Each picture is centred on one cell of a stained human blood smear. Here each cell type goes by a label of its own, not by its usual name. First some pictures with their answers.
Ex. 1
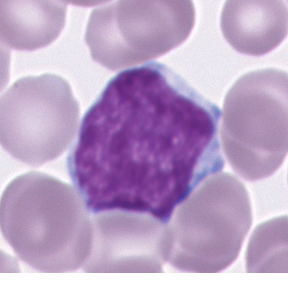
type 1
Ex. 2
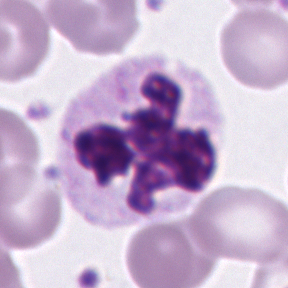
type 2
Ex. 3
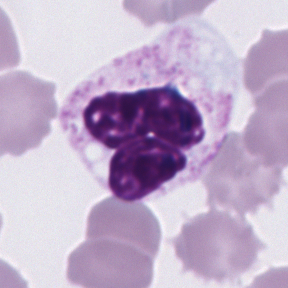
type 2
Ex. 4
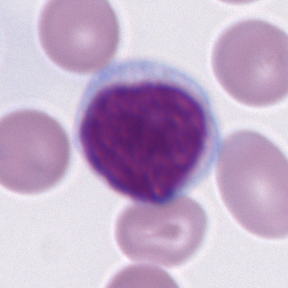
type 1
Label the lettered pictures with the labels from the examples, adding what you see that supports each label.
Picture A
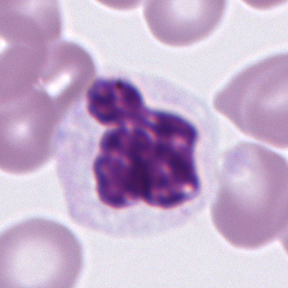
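Label: type 2. A broad rim of very pale, almost colourless cytoplasm surrounds the nucleus.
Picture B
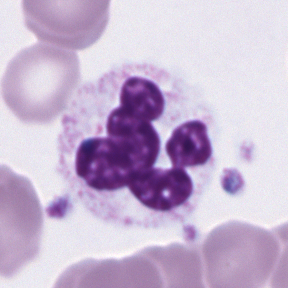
Label: type 2. The cytoplasm is very pale, almost colourless.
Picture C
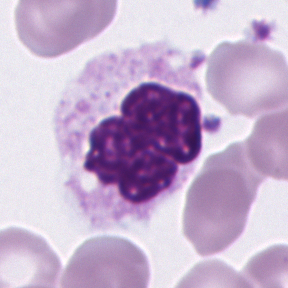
Label: type 2. A wide zone of pale pinkish-lilac cytoplasm surrounds the nucleus.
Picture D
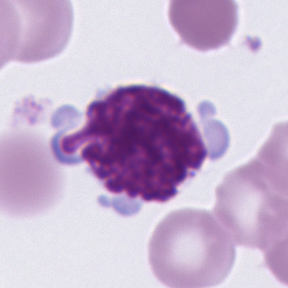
Label: type 1. The cytoplasm is scant, with the nucleus filling almost the whole cell.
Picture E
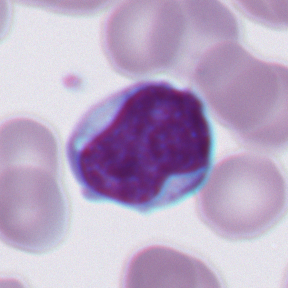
Label: type 1. The cytoplasm is a narrow rim, widest at the left and lower right.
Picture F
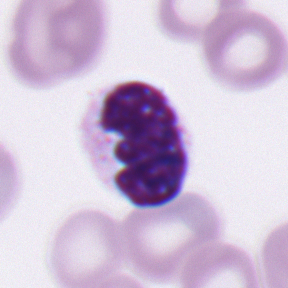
Label: type 2. The cytoplasm is pale pink and lies mostly on the left side of the nucleus.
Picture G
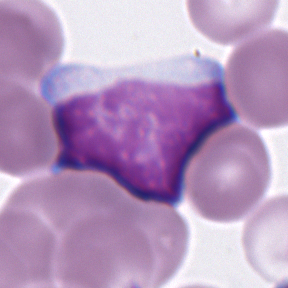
Label: type 1. The nucleus fills most of the cell and is a single unlobed mass.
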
